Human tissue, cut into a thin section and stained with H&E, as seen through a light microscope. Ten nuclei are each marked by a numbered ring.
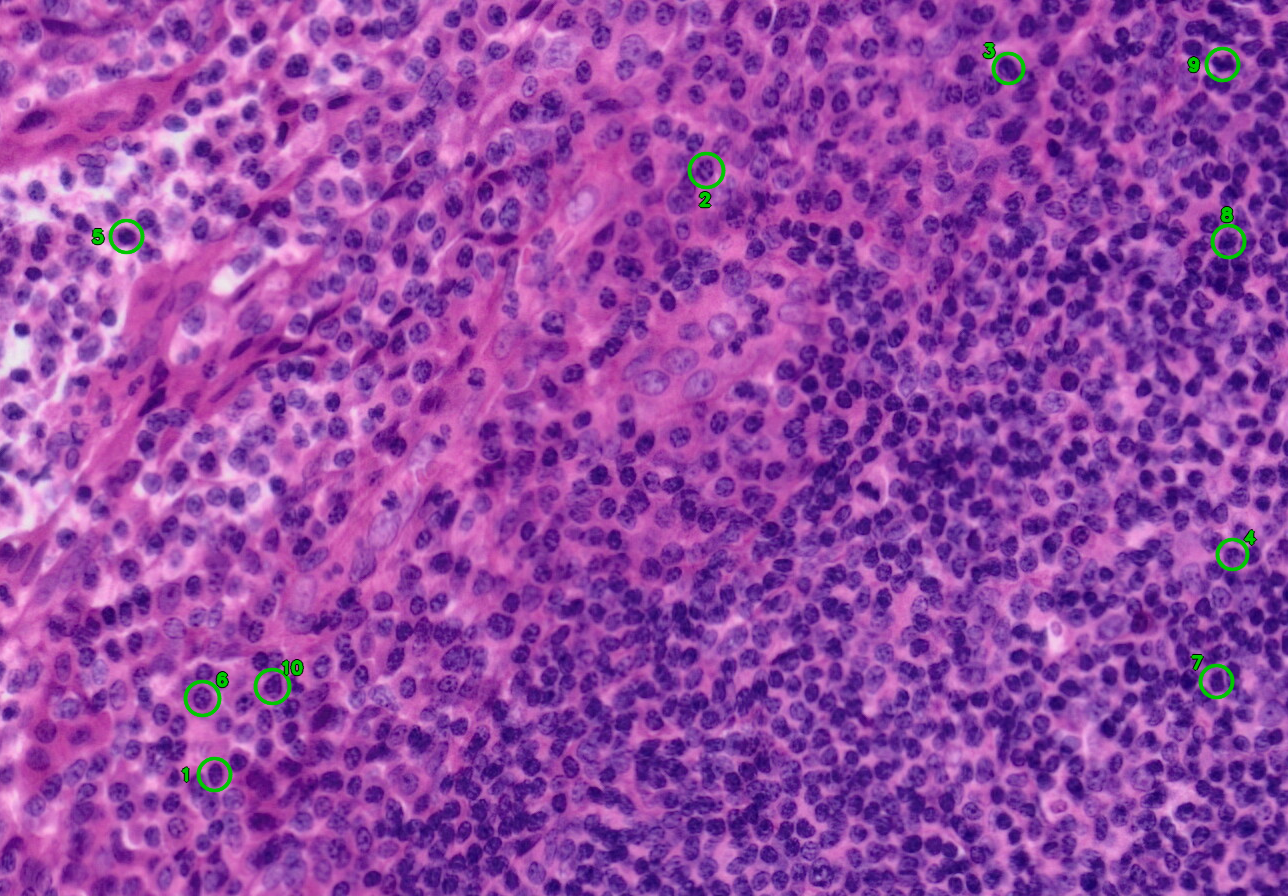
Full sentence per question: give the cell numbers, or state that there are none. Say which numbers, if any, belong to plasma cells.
Within this tissue, the cells numbered 1, 2, 3, 5, 6 and 10 are plasma cells.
